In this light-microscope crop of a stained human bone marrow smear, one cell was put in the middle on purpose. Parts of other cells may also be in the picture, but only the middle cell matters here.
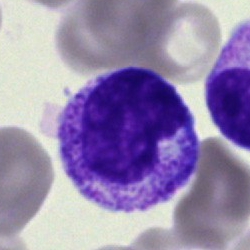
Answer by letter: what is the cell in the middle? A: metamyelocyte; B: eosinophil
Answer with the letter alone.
A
